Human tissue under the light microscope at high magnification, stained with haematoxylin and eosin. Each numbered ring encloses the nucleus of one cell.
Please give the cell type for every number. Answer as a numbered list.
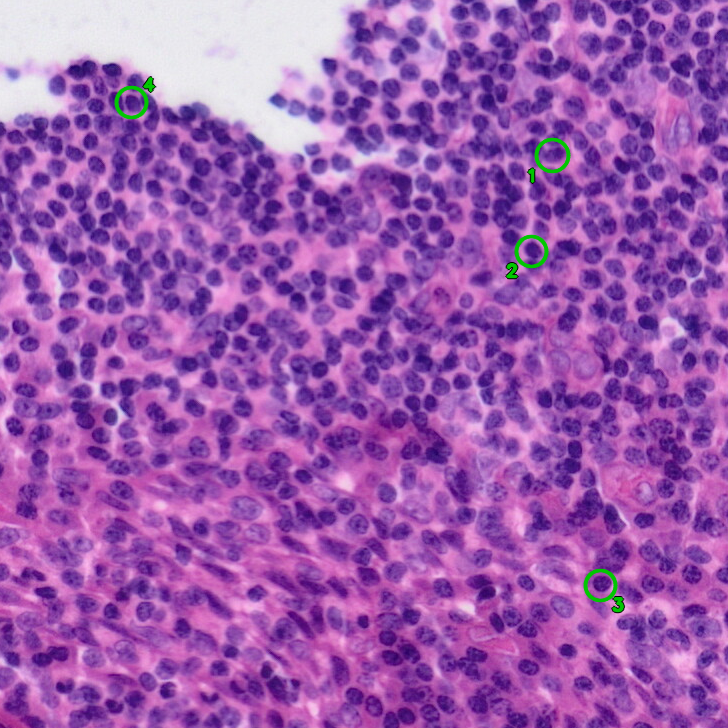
1. small lymphocyte
2. small lymphocyte
3. plasma cell
4. small lymphocyte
